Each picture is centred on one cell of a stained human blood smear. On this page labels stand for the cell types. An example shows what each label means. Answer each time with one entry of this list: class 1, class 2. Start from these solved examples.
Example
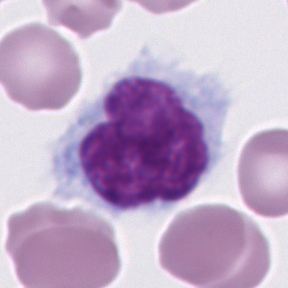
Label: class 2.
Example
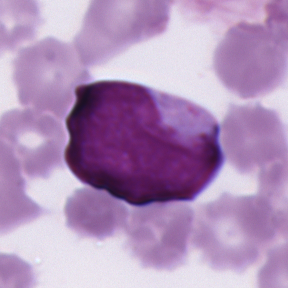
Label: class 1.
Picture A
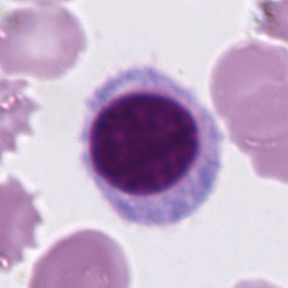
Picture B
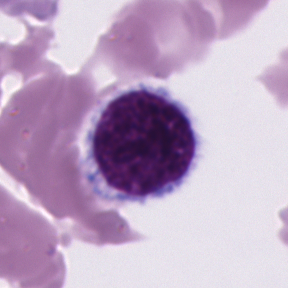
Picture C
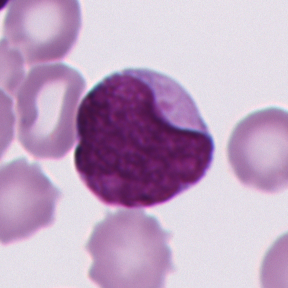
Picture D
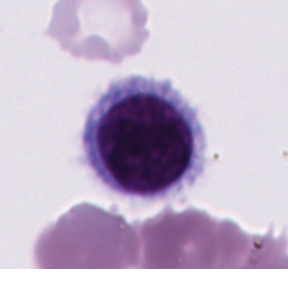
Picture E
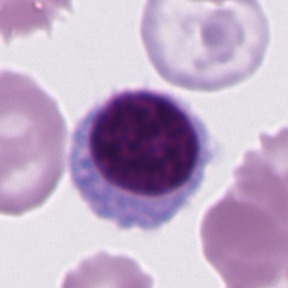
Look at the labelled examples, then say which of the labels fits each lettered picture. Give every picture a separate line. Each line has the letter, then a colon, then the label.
A: class 2.
B: class 2.
C: class 1.
D: class 2.
E: class 2.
